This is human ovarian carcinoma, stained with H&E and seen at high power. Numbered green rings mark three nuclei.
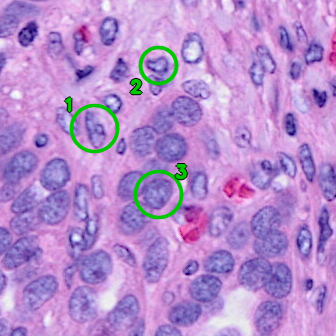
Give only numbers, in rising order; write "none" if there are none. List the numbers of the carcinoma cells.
3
